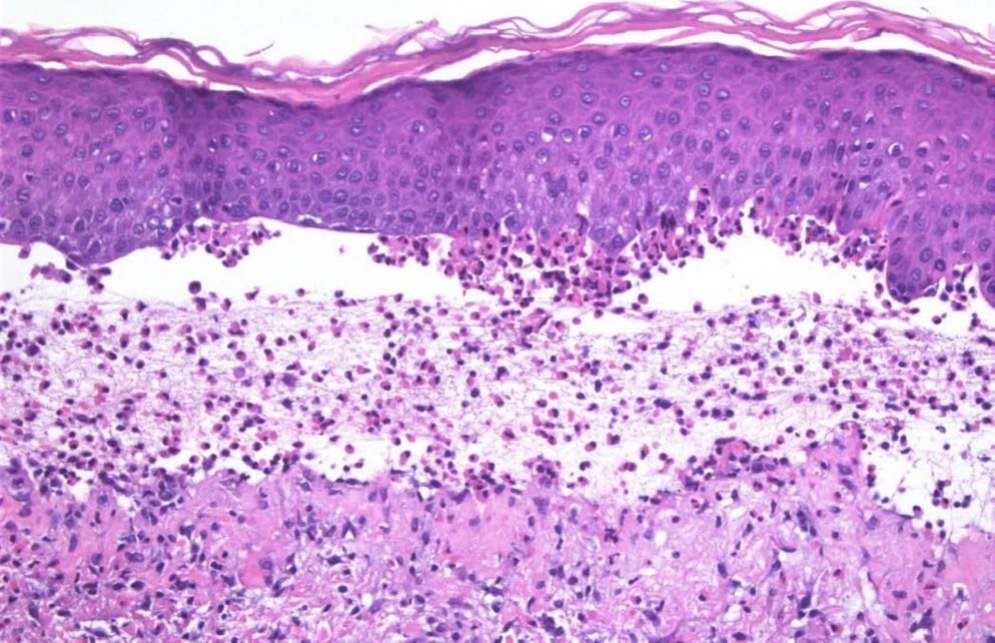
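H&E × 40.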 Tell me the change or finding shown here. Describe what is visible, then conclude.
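The whole epidermis is lifted off the dermis as one intact sheet. A clear space filled with loose cells lies beneath the basal layer of the epidermis. The floor of the space is dermis with collagen and cells. That points to this answer: Subepidermal blister cavity.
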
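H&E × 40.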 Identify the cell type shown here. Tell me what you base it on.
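Eosinophils. Many cells in and below the cavity have bright pink granular cytoplasm. Many of these cells have lobed, dark nuclei. These cells crowd along the underside of the lifted epidermis and in the upper dermis.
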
